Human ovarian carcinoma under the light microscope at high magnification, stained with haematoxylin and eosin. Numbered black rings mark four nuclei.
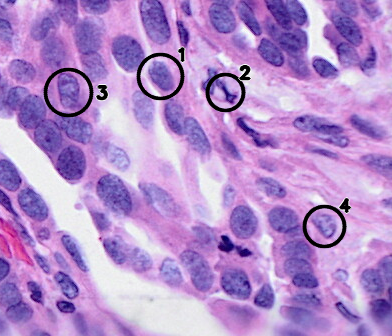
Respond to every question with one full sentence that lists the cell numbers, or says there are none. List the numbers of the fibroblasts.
Identified as fibroblasts are the cells numbered 2 and 4.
